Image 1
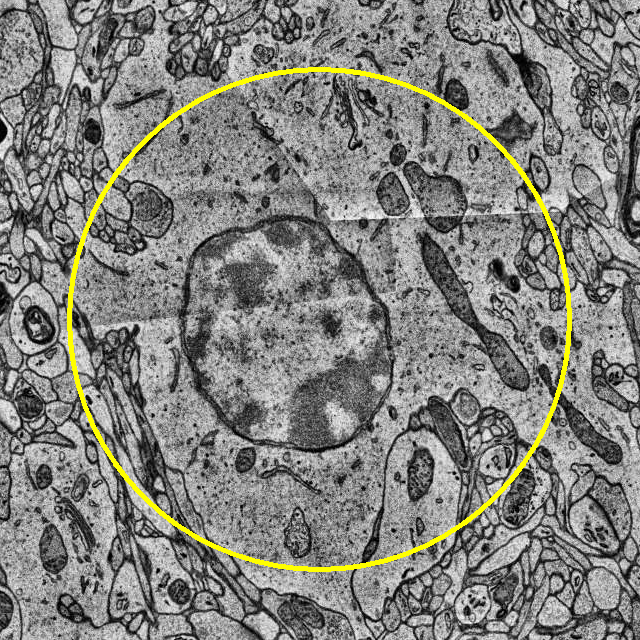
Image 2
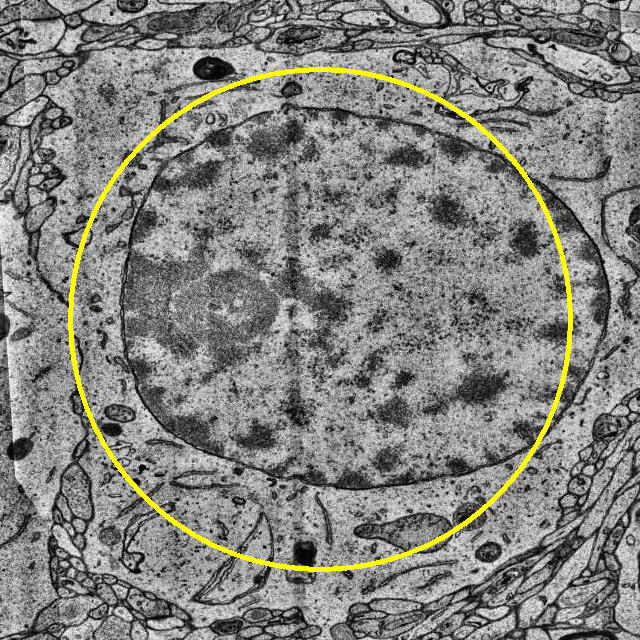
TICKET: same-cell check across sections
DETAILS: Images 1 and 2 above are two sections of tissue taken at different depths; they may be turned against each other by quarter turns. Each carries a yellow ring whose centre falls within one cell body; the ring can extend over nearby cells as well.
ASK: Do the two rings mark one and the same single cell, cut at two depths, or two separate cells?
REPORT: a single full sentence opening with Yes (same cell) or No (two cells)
Yes, one single cell is under each of the two rings.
